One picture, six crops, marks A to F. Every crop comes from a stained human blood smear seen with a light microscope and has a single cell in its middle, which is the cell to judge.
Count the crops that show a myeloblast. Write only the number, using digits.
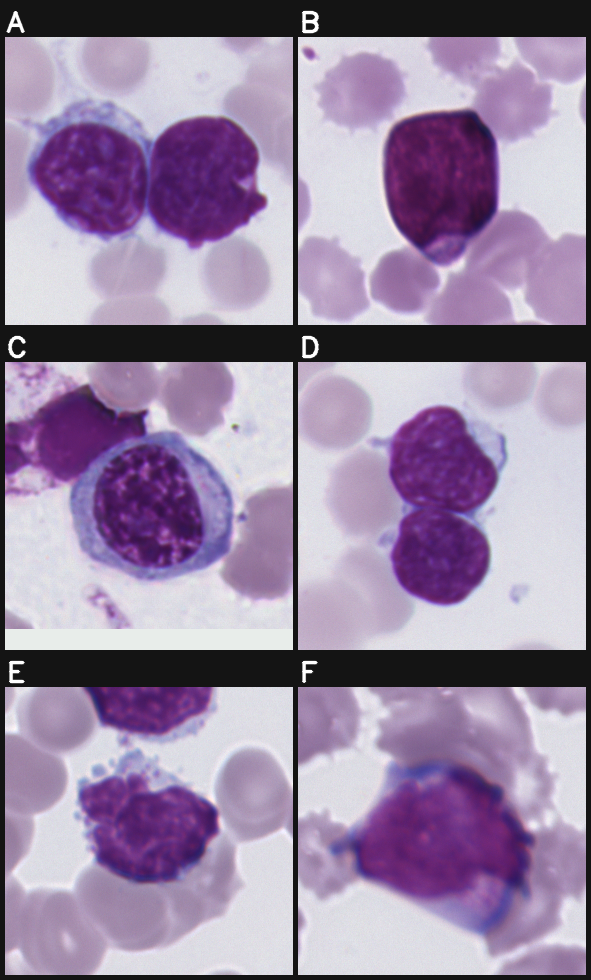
4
